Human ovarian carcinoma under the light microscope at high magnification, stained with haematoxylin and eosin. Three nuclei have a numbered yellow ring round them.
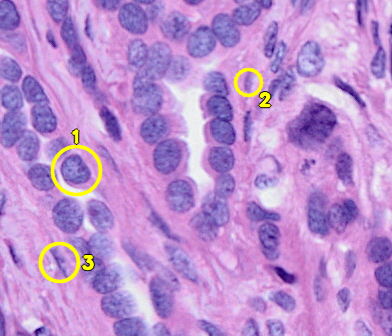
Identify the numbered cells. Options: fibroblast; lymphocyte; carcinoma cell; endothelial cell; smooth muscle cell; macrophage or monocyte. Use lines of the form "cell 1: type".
cell 1: carcinoma cell
cell 2: fibroblast
cell 3: fibroblast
